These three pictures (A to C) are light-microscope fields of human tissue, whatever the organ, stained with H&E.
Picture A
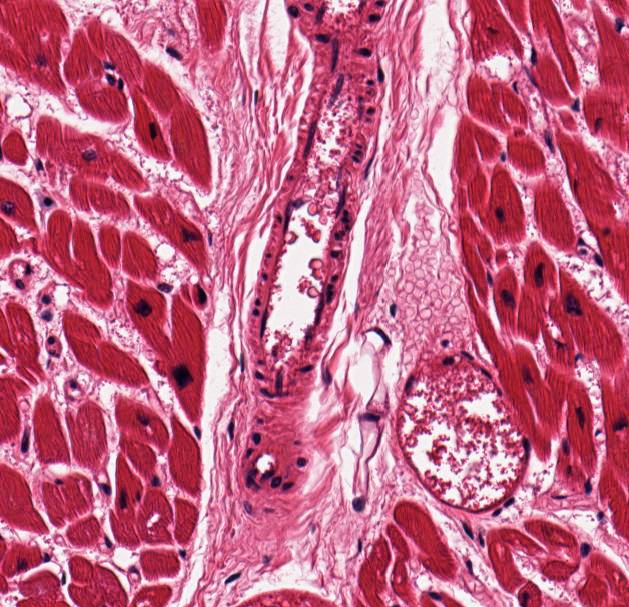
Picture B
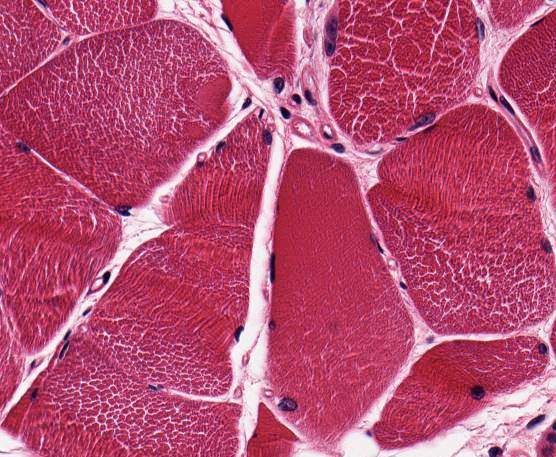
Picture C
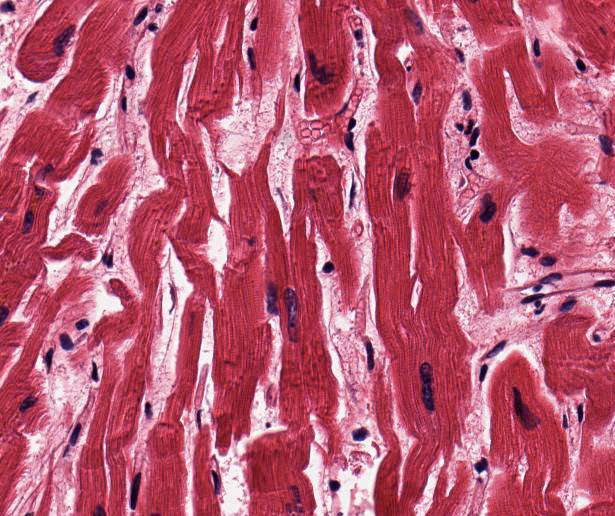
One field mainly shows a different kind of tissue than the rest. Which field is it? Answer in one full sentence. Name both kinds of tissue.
Unlike the rest, which mainly show cardiac muscle, picture B mainly shows skeletal muscle.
